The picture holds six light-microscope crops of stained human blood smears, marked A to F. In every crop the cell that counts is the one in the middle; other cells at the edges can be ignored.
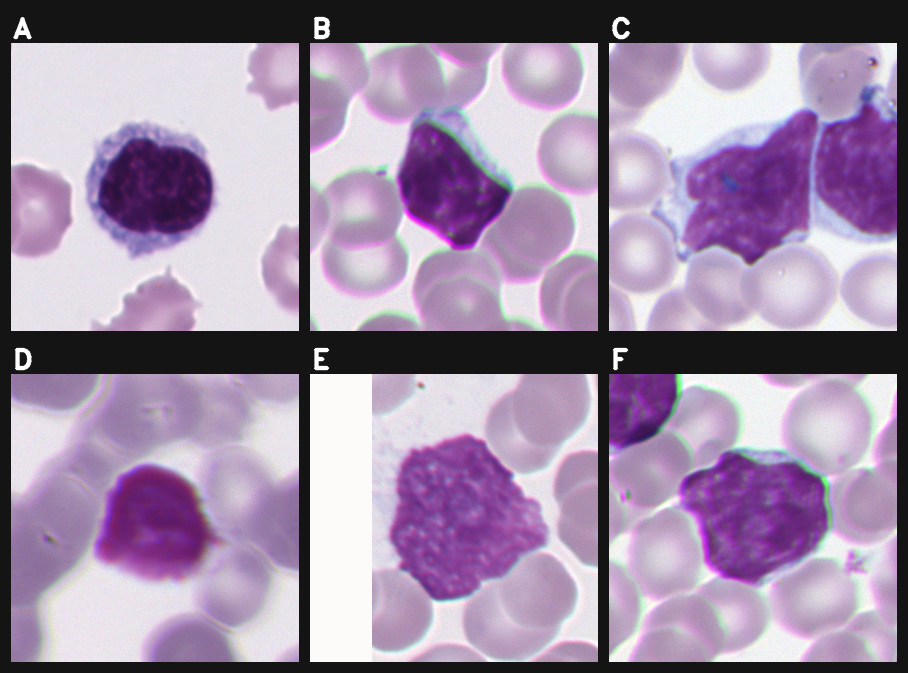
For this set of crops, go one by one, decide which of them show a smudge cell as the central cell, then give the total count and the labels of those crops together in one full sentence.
Among the crops, D and E show smudge cells, making two in total.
